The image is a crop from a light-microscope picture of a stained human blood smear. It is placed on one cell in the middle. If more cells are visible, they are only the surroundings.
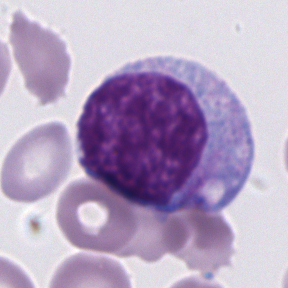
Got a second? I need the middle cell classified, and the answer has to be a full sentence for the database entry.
Within this crop, a myelocyte occupies the central position.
